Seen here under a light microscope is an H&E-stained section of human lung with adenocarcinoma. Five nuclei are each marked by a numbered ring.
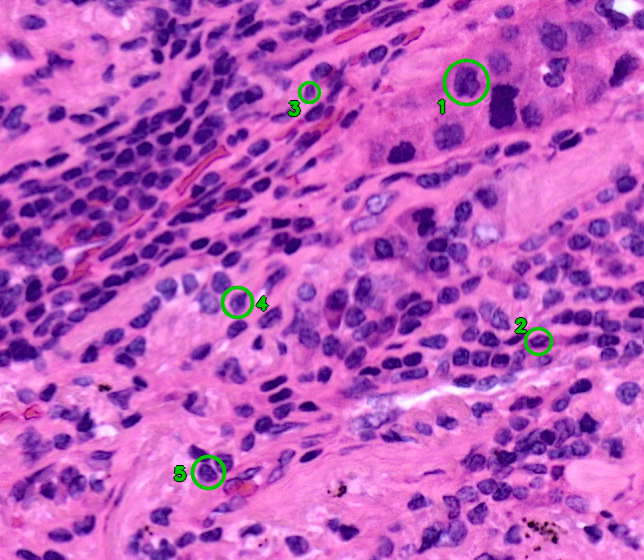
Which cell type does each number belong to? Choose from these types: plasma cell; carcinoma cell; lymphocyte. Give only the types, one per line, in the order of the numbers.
carcinoma cell
plasma cell
lymphocyte
lymphocyte
lymphocyte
